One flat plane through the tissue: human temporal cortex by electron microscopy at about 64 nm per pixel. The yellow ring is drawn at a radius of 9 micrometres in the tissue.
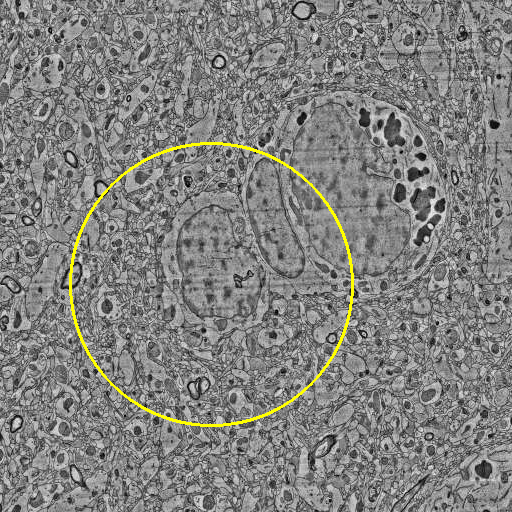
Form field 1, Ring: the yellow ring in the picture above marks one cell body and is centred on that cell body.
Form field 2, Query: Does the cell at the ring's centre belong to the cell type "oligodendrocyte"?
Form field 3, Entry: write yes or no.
no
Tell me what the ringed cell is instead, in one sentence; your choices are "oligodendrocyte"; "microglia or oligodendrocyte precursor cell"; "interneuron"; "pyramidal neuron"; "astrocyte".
Instead, the cell inside the ring is an interneuron.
